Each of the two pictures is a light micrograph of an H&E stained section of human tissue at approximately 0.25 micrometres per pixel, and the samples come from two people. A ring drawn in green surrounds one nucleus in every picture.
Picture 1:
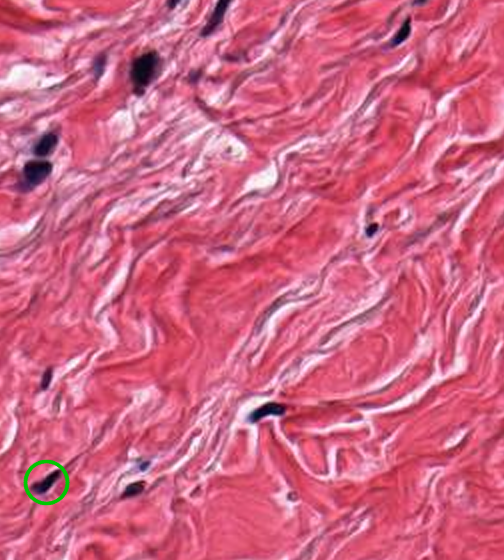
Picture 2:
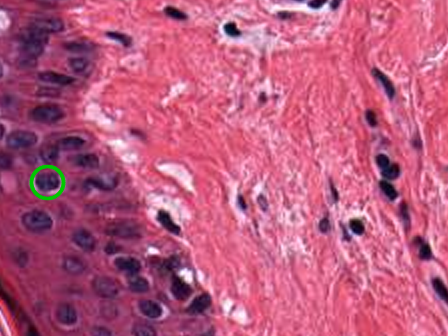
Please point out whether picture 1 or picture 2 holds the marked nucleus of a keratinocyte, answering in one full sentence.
It is the marked nucleus of picture 2 that belongs to a keratinocyte.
